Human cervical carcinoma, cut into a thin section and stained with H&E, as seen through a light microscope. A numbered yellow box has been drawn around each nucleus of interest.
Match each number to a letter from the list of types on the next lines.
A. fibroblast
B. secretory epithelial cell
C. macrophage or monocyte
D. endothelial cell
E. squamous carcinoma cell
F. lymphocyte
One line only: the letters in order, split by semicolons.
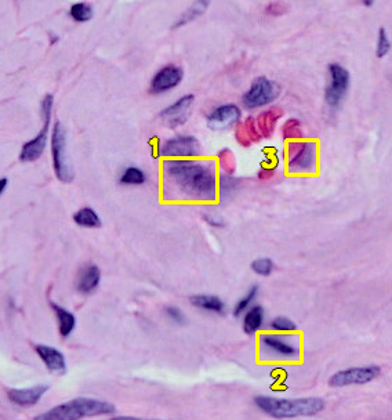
D; A; D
